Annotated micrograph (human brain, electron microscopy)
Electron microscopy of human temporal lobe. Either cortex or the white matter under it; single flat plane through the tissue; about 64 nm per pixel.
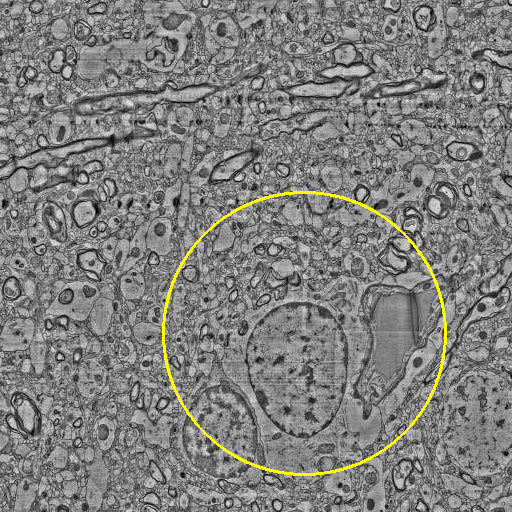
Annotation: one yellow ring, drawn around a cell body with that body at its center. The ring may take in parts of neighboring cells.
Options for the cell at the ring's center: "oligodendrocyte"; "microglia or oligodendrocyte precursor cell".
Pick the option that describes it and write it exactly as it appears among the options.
microglia or oligodendrocyte precursor cell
